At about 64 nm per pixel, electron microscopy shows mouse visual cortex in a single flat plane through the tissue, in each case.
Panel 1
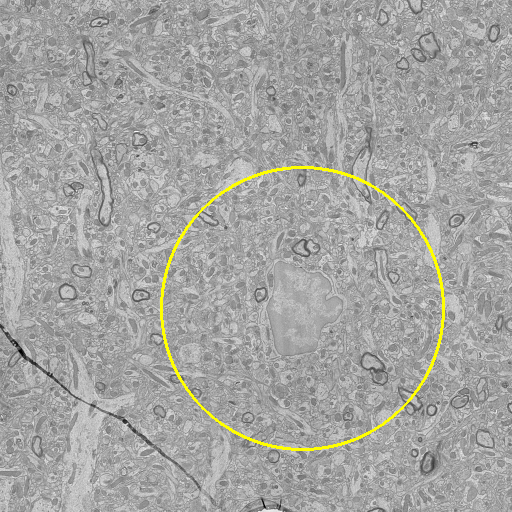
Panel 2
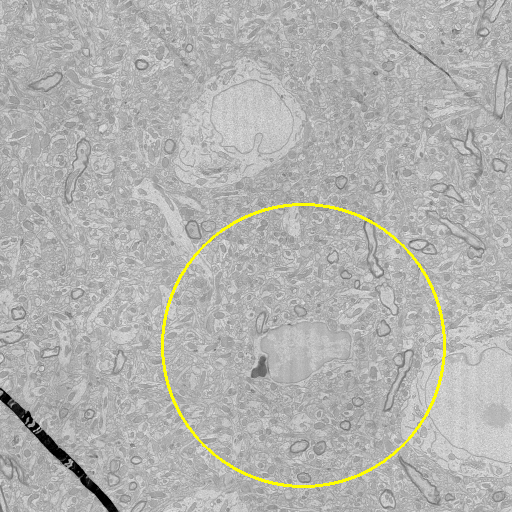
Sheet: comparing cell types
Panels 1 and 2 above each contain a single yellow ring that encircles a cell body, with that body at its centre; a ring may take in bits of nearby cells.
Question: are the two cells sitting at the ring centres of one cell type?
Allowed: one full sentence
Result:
Yes, the ring-centre cells in Panel 1 and Panel 2 are of one type.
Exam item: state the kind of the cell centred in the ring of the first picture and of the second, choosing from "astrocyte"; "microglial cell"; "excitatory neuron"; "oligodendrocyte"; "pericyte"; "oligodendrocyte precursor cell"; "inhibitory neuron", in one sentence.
Each of the two rings surrounds a microglial cell.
